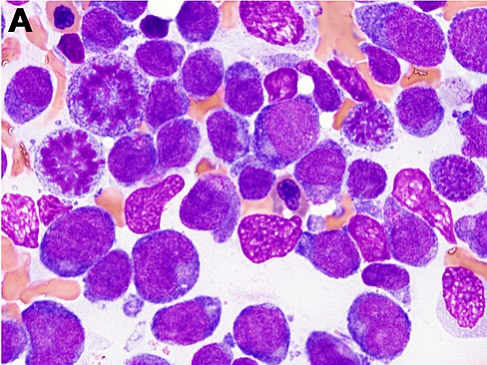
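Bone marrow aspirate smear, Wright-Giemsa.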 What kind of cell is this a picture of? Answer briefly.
Blasts.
